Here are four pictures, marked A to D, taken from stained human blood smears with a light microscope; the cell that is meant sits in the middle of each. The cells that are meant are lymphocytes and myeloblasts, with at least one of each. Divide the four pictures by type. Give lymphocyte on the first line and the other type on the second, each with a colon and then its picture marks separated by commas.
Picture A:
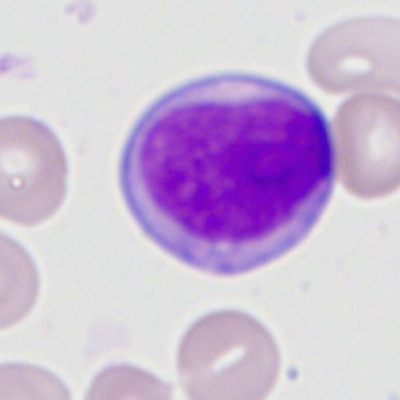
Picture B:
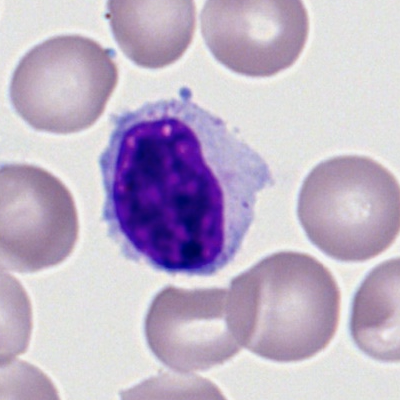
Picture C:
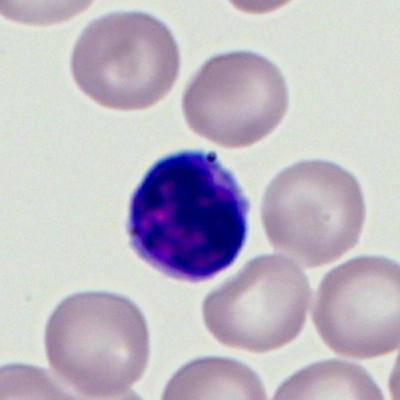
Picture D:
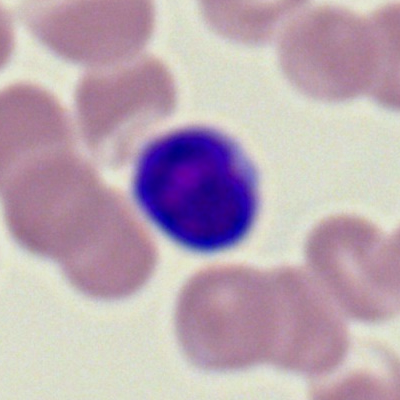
lymphocyte: B, C, D
myeloblast: A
